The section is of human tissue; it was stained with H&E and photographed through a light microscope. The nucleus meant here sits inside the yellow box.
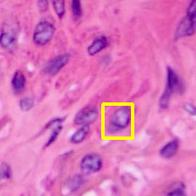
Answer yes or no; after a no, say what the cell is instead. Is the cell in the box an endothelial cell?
No, it is a smooth muscle cell or pericyte.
